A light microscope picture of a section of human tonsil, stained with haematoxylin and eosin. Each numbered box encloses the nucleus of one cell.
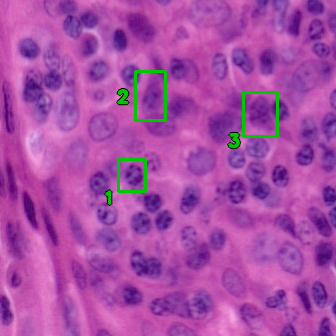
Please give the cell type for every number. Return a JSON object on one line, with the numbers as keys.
{"1": "plasma cell", "2": "squamous epithelial cell", "3": "squamous epithelial cell"}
